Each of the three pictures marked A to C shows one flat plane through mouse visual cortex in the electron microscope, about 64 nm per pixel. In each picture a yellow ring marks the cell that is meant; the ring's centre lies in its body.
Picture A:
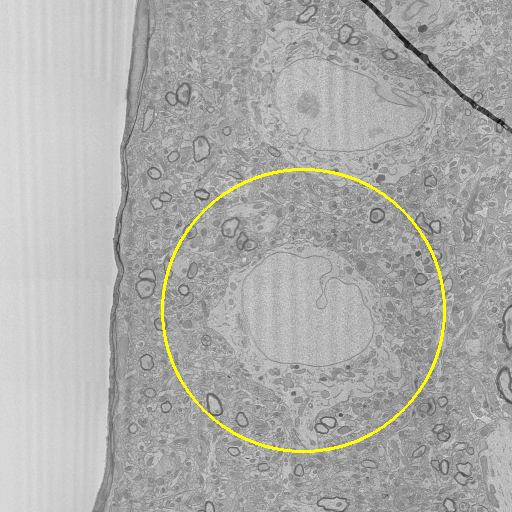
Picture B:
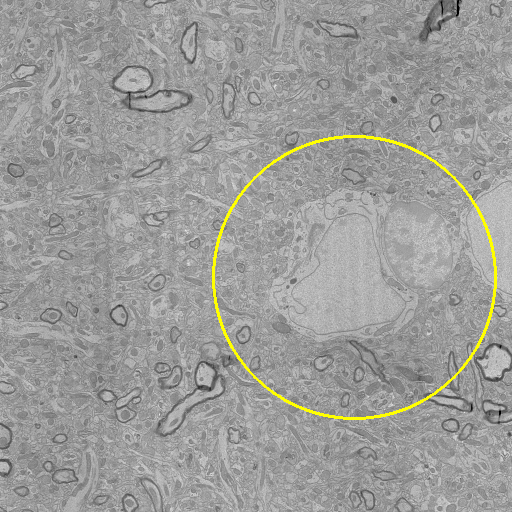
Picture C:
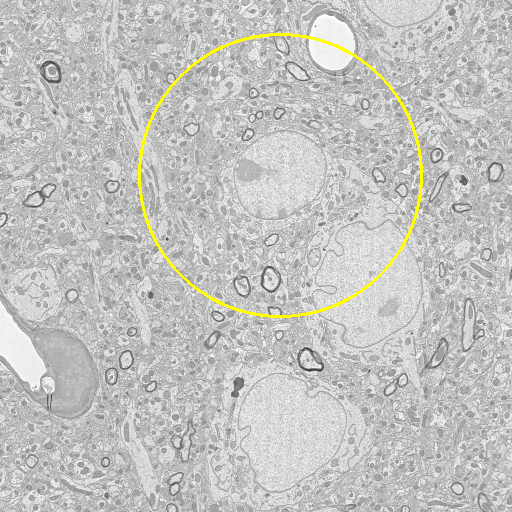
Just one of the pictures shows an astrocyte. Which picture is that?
The picture with the astrocyte is C.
